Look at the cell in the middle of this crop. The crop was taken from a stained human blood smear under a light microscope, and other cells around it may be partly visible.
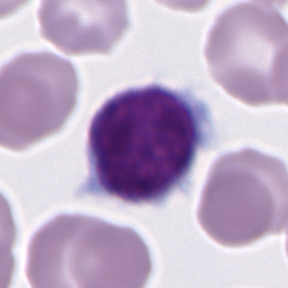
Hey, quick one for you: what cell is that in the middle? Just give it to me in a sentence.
The central element of this crop is a cell, namely a hairy cell.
